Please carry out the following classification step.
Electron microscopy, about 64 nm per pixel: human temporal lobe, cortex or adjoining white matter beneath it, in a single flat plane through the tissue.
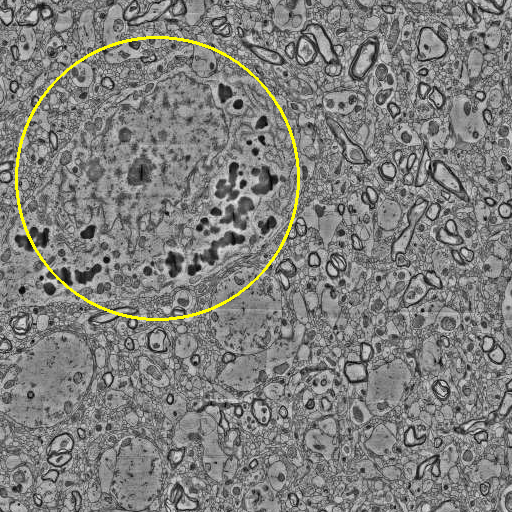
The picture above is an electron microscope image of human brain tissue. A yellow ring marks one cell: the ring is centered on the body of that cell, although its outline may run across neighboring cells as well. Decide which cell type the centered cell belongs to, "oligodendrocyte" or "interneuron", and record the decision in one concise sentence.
The cell centered in the yellow ring is an interneuron.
